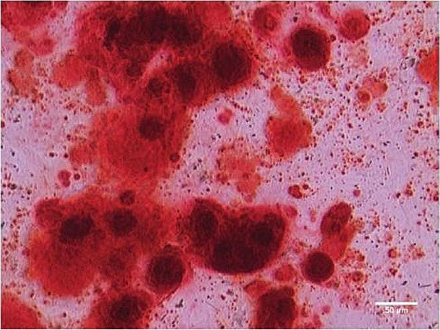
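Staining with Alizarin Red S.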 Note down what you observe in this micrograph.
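Around the nodules the stain fades to a lighter red, and smaller red granules are sprinkled over a pale pink background. Individual cell outlines are hard to make out beneath the dense deposits.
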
